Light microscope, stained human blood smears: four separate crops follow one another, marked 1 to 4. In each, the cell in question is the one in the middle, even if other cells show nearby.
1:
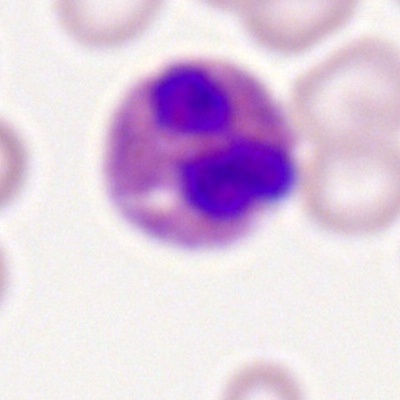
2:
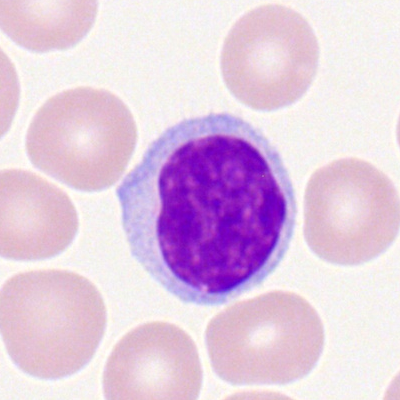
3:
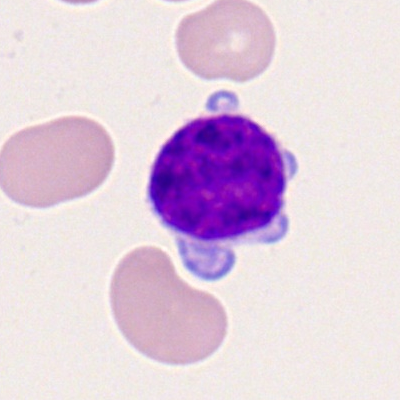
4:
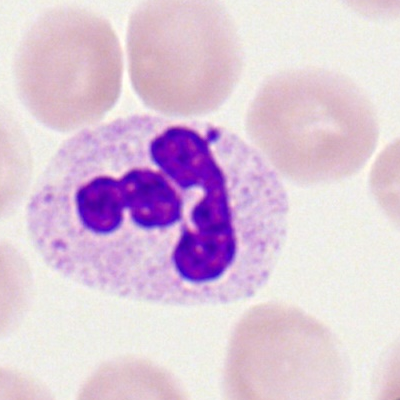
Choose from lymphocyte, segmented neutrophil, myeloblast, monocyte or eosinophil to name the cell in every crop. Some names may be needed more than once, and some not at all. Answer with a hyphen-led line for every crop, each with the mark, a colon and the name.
- 1: eosinophil
- 2: lymphocyte
- 3: lymphocyte
- 4: segmented neutrophil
